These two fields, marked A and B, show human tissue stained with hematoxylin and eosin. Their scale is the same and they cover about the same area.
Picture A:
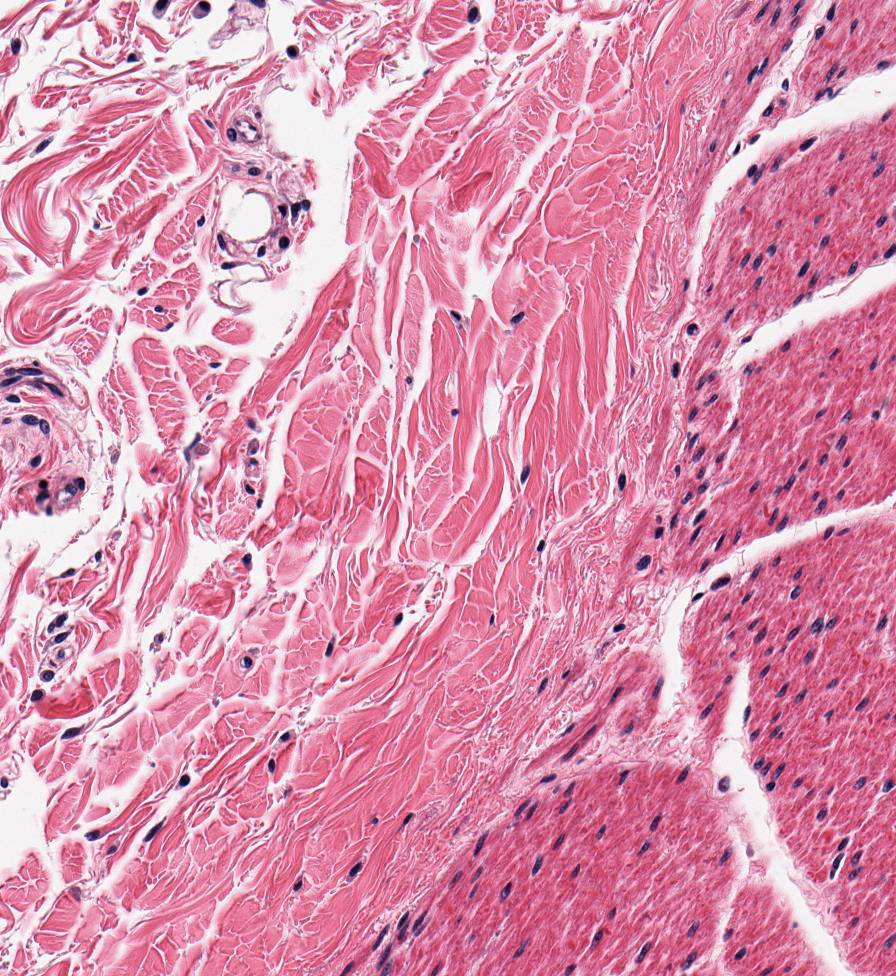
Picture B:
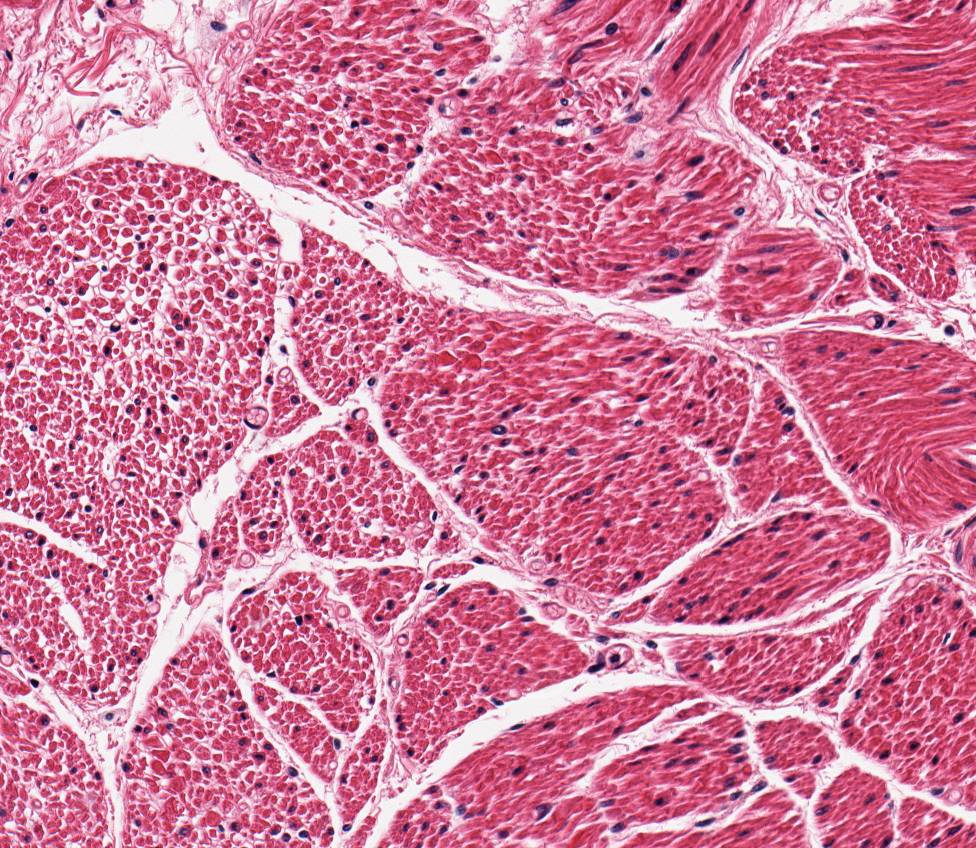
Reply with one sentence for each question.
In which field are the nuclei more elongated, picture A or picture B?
Longer, more slender nuclei lie in picture A.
